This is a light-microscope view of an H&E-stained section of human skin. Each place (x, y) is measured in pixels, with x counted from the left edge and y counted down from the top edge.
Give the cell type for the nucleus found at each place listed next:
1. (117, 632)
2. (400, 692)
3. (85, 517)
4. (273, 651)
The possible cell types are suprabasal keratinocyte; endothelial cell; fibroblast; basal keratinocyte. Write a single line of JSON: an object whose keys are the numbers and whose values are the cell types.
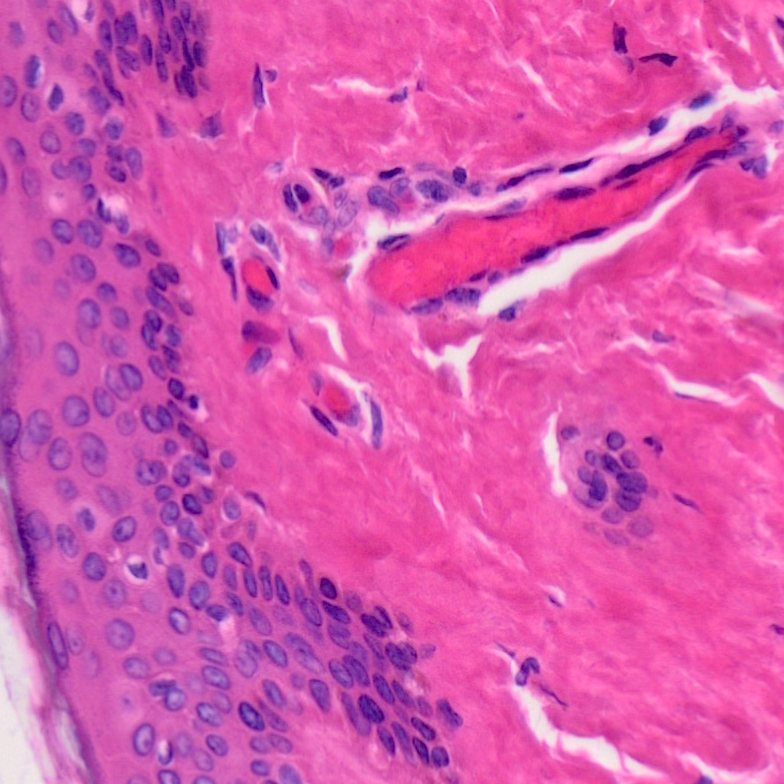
{"1": "suprabasal keratinocyte", "2": "basal keratinocyte", "3": "suprabasal keratinocyte", "4": "suprabasal keratinocyte"}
